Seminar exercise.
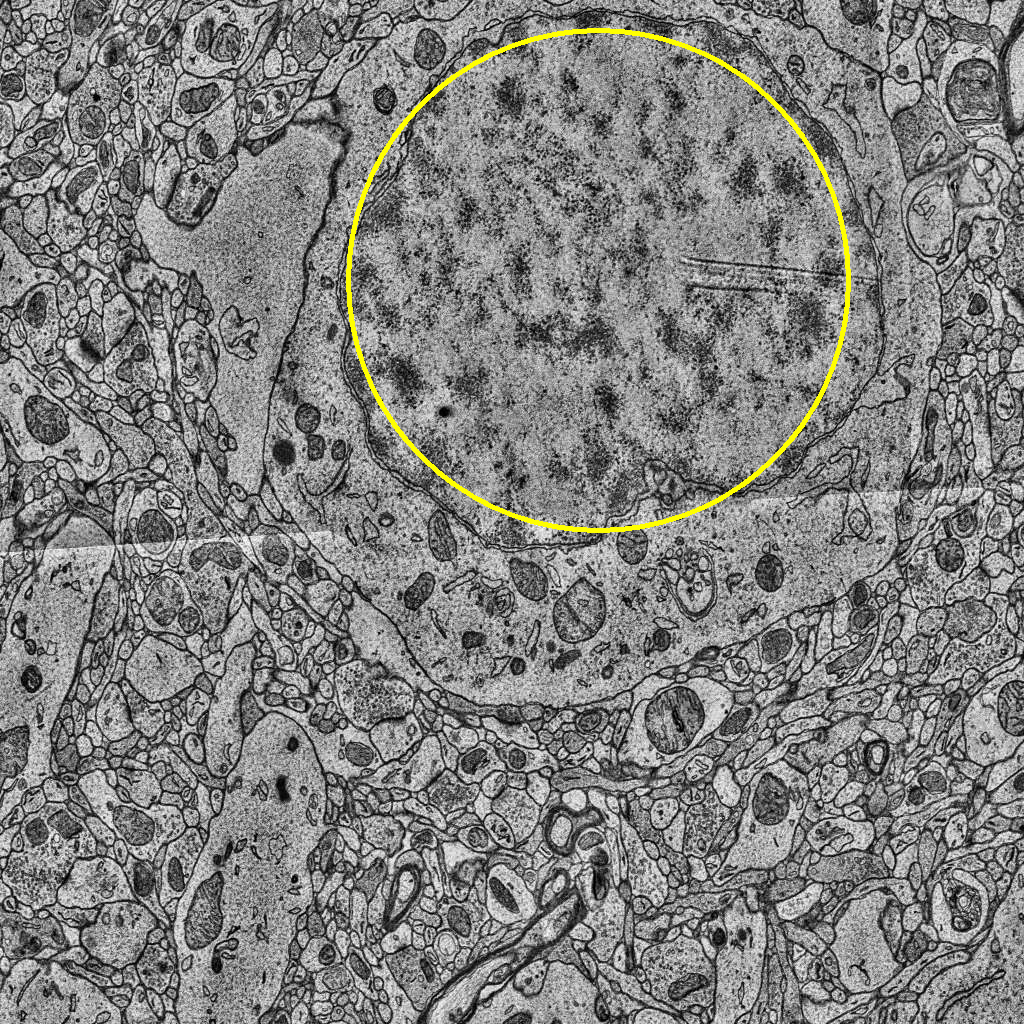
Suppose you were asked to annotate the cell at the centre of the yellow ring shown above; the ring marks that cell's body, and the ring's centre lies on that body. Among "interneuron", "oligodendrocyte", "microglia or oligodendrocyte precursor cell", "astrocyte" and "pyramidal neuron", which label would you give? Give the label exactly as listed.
interneuron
